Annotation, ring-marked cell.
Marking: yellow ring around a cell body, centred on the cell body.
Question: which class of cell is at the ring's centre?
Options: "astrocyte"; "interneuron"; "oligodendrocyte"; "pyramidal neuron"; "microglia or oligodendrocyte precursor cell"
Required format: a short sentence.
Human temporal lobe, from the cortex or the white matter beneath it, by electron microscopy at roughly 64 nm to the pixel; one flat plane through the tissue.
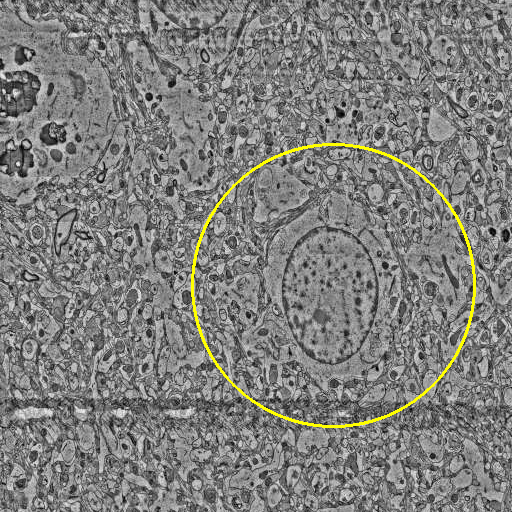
At the ring's centre is an astrocyte.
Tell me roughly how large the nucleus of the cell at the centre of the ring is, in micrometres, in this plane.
The nucleus of the ringed cell is approximately 9 by 6 micrometres in this plane.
